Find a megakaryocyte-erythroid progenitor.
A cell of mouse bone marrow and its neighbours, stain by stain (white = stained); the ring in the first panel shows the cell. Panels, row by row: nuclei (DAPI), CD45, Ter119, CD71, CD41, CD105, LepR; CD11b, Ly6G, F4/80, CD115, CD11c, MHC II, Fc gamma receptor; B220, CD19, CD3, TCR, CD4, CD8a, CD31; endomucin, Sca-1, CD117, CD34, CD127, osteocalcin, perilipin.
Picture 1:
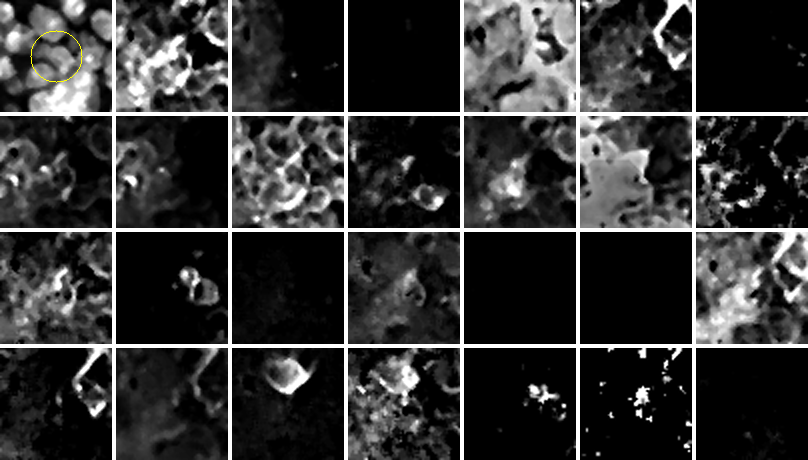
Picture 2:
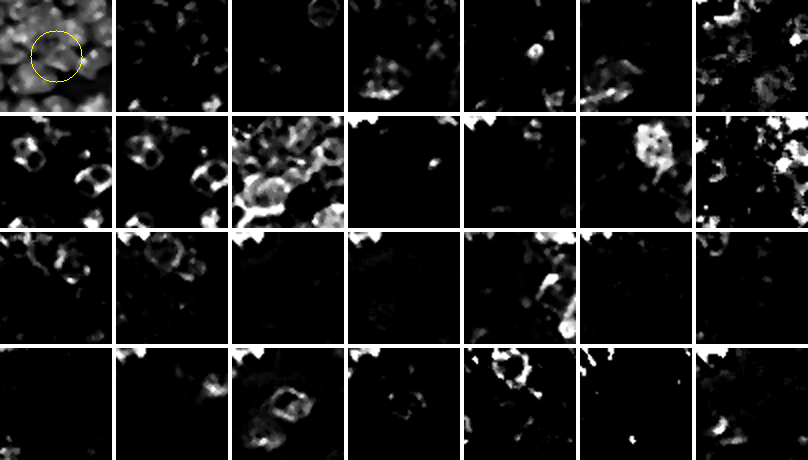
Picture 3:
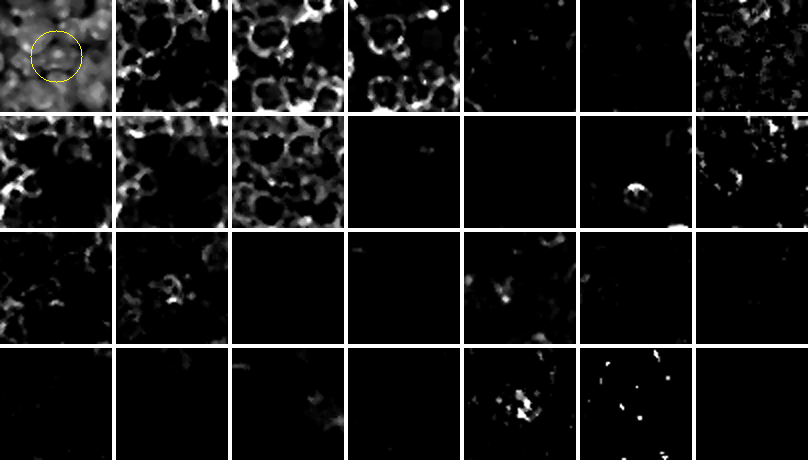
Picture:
2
